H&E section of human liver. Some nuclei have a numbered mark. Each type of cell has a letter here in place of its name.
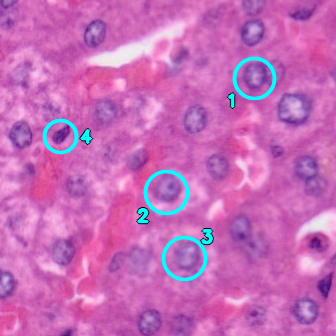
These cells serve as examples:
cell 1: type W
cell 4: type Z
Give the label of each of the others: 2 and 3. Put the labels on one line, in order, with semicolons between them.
type W; type W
